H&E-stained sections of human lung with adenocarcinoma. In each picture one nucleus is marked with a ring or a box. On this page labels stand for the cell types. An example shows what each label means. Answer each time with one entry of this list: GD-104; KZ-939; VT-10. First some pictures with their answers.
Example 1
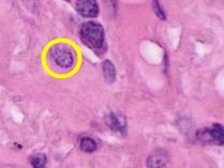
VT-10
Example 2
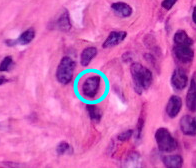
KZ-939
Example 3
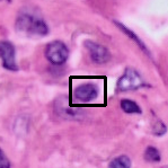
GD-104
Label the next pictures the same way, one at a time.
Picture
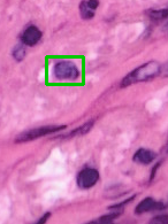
GD-104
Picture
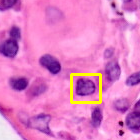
VT-10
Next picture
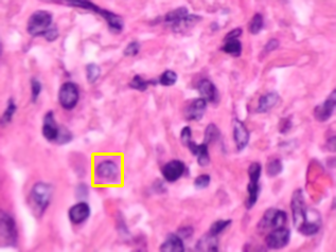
VT-10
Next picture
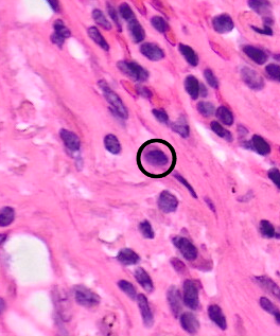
KZ-939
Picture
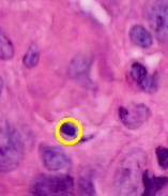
GD-104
